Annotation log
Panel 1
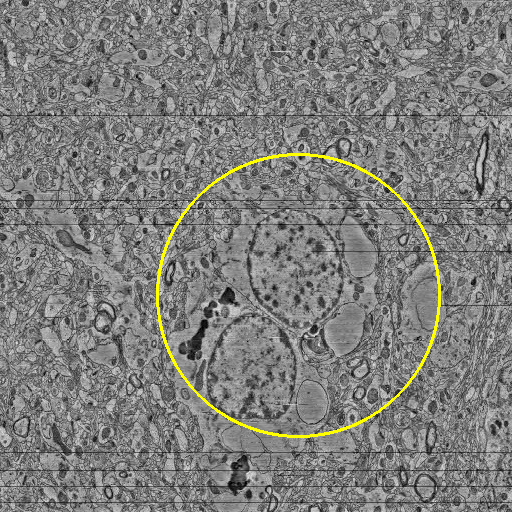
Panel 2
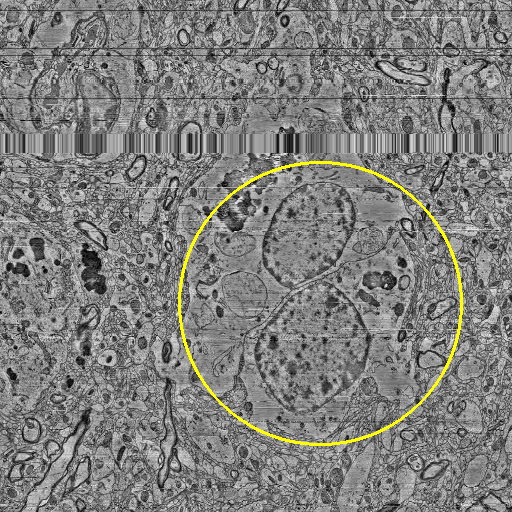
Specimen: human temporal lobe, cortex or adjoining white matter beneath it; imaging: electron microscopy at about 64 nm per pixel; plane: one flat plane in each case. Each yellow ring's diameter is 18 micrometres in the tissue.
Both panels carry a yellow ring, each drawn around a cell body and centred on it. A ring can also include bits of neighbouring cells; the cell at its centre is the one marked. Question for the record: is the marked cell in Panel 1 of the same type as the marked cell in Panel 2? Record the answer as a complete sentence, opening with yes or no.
Yes, the marked cells in Panel 1 and Panel 2 are of the same type.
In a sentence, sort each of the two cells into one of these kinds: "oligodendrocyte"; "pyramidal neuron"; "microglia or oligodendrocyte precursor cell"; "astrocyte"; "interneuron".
Each of the ringed cells, first and second, is an astrocyte.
